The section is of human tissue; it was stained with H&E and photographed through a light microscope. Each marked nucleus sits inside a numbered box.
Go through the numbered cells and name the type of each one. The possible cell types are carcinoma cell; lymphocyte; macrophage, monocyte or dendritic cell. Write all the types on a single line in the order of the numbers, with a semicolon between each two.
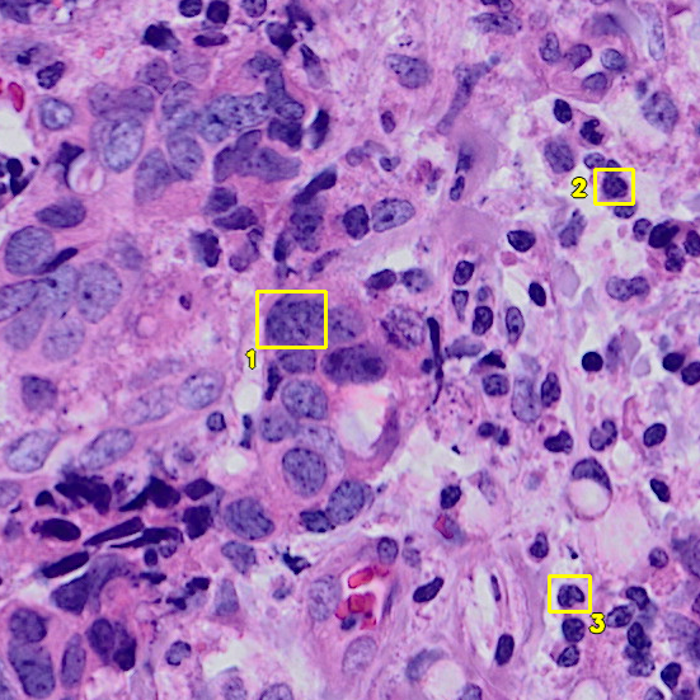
carcinoma cell; lymphocyte; lymphocyte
